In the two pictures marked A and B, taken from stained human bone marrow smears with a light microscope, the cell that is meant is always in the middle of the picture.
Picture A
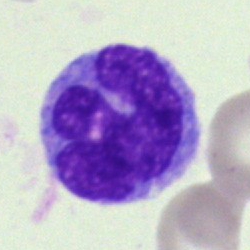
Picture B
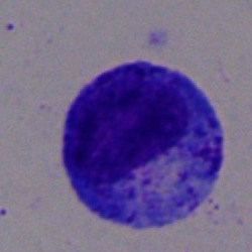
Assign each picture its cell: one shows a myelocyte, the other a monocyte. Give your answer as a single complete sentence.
Picture A is of a monocyte, and picture B is of a myelocyte.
